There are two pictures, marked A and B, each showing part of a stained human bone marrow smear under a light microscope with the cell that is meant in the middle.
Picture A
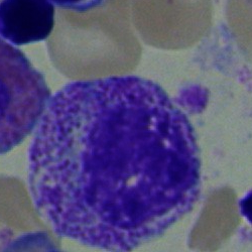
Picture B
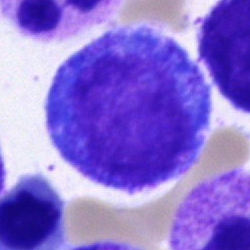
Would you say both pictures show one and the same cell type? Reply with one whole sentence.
No. Picture A shows a myelocyte, but picture B shows a promyelocyte.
